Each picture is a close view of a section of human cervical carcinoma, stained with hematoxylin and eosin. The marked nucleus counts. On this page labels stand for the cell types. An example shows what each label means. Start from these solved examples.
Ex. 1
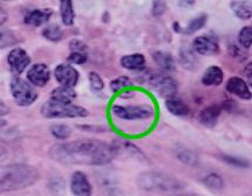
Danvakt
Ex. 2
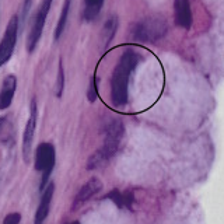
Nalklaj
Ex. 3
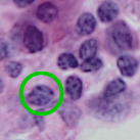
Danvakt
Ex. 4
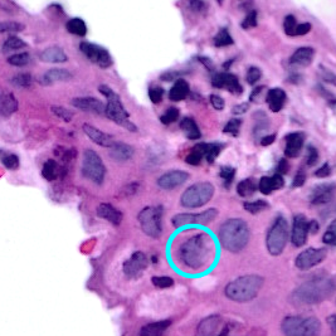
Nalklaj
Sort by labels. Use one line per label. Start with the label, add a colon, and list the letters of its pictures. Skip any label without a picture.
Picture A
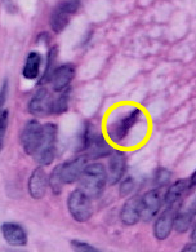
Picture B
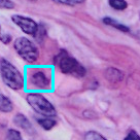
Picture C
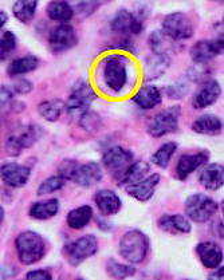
Danvakt: B, C
Nalklaj: A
